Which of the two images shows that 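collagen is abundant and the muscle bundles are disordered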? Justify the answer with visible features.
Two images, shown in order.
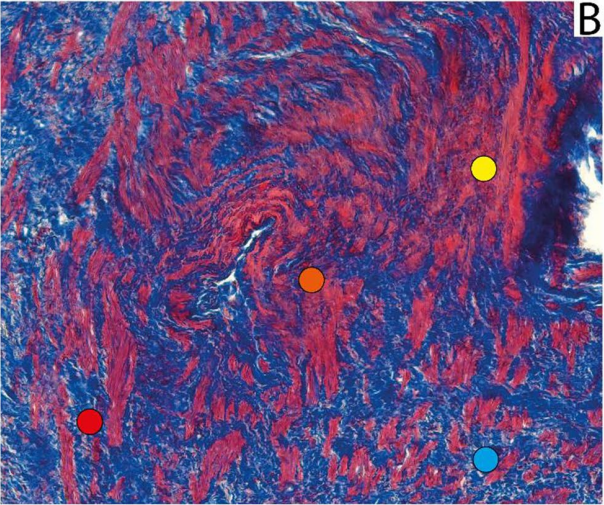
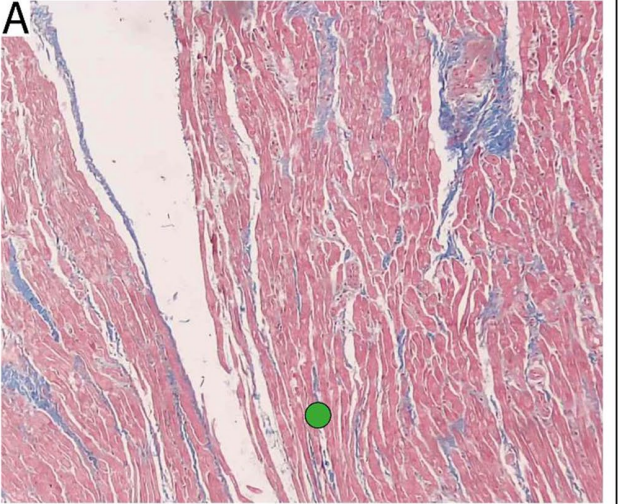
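The first image. First image: blue fibrous tissue dominates and red strands run in swirling, varied directions. Second image: red fibres dominate and run largely parallel, with only thin blue strands.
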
